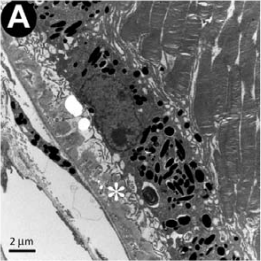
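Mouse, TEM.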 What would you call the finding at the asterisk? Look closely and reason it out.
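The band separates the pigmented cells from the vascular layer below.
Answer: basal laminar deposits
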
